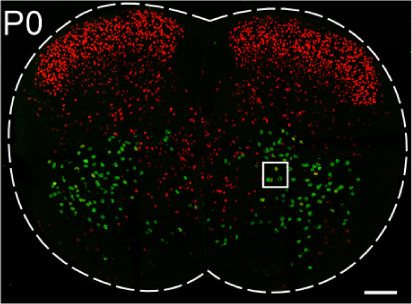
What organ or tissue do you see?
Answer: Spinal cord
